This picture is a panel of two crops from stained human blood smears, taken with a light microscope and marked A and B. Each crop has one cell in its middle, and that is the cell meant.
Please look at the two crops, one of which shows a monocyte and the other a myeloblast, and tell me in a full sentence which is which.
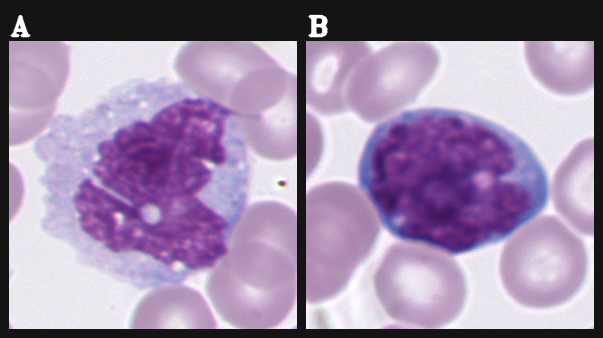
Crop A is to be labelled a monocyte, and crop B a myeloblast.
